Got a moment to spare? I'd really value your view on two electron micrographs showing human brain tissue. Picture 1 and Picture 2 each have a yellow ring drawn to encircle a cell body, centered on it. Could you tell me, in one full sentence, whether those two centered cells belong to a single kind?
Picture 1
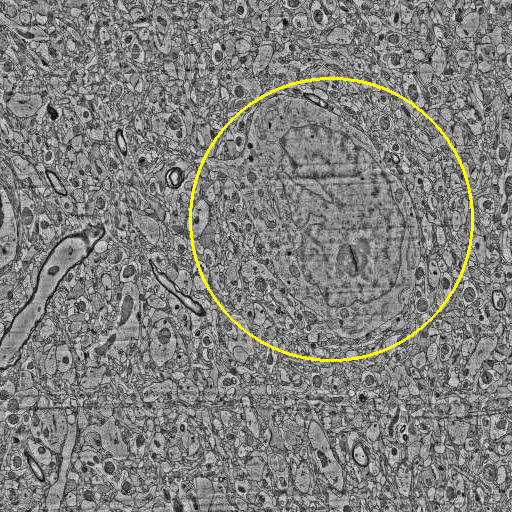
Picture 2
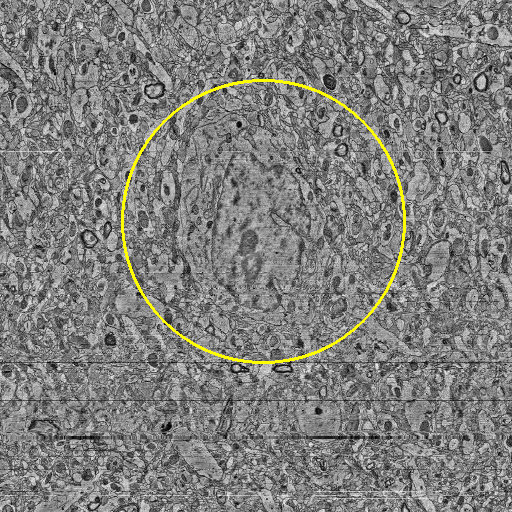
Yes, the two centered cells in Picture 1 and Picture 2 are of a single kind.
